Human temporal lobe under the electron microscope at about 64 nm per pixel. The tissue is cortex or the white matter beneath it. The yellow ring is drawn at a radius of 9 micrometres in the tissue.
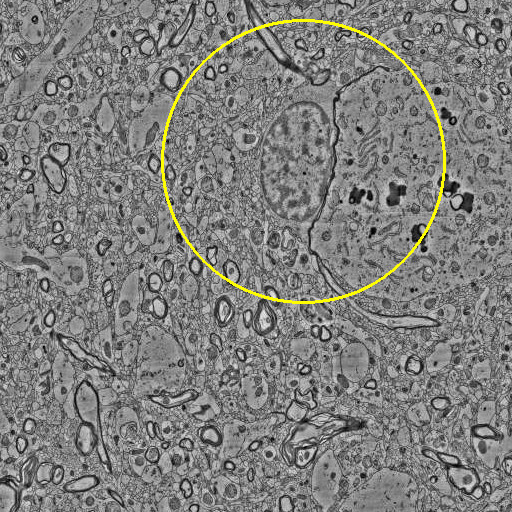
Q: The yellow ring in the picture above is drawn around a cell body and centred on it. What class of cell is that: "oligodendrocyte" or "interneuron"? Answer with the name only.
oligodendrocyte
